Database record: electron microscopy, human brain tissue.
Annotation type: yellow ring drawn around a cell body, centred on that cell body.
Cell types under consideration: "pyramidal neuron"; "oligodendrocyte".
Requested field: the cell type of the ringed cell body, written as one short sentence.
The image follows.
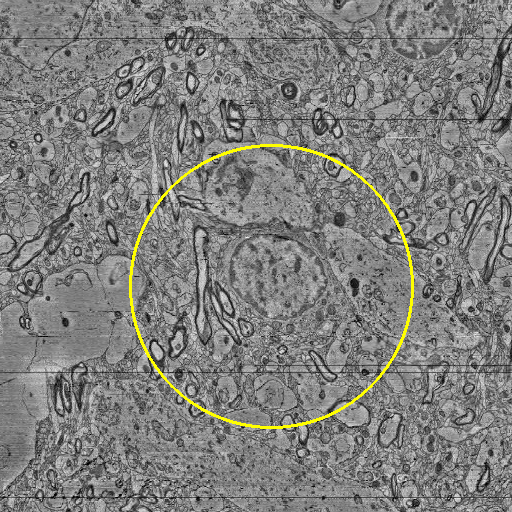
The ringed cell body represents an oligodendrocyte.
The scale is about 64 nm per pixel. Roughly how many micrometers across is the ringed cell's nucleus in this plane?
About 6 by 5 micrometers, in this plane.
